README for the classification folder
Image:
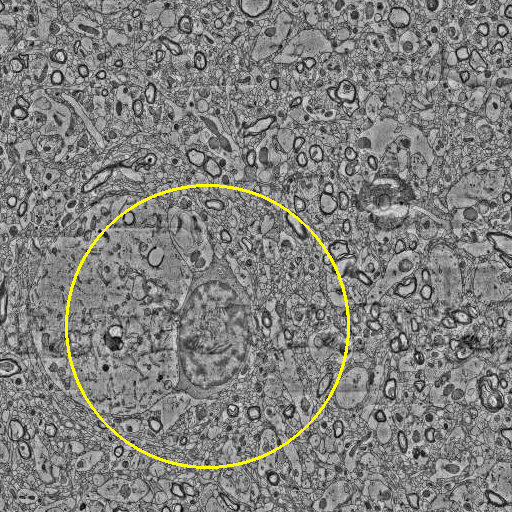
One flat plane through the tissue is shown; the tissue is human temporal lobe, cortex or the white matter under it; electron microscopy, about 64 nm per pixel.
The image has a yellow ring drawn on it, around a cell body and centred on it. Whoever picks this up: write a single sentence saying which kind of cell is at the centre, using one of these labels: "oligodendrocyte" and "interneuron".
This cell body is that of an oligodendrocyte.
